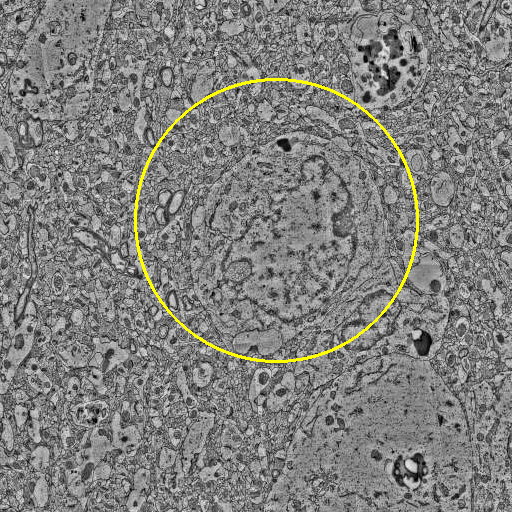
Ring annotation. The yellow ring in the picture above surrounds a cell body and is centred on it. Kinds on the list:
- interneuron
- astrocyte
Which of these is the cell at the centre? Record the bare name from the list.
interneuron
